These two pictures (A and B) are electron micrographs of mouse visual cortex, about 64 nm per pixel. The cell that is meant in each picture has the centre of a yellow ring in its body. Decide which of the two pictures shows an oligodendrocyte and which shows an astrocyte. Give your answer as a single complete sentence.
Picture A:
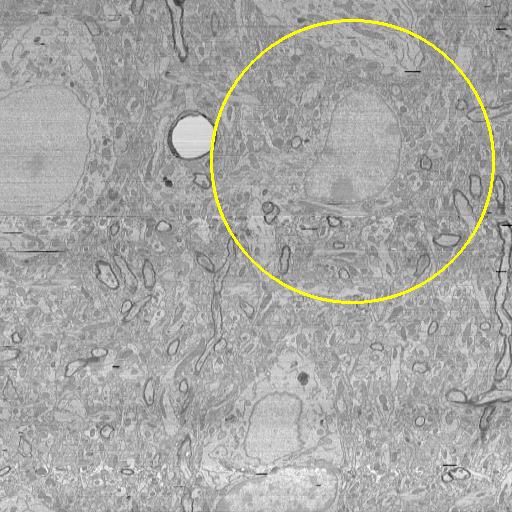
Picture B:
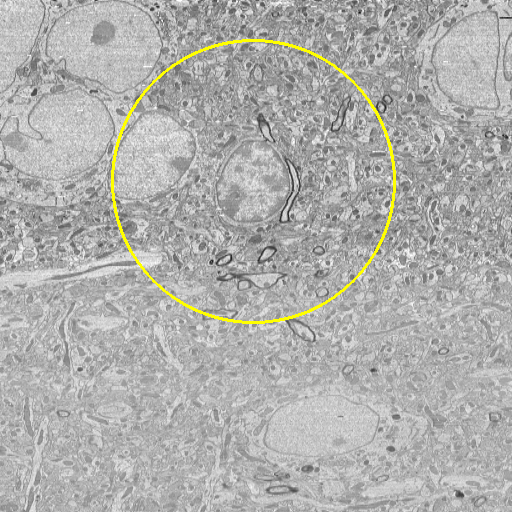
It is picture A that shows an astrocyte, and picture B that shows an oligodendrocyte.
